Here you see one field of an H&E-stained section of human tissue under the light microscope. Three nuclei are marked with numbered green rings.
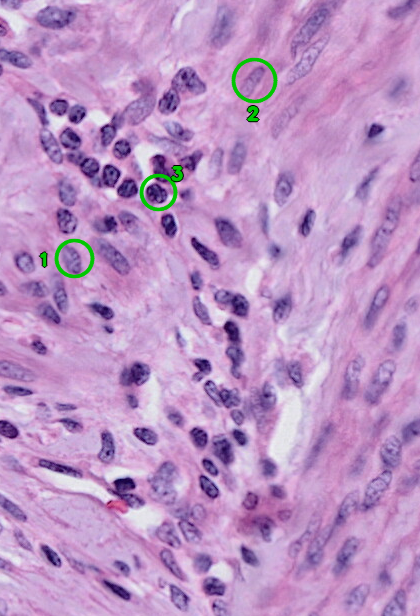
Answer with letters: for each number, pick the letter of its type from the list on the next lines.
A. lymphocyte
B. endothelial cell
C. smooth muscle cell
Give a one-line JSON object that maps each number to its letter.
{"1": "C", "2": "C", "3": "A"}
